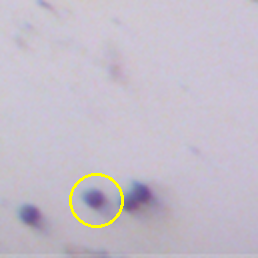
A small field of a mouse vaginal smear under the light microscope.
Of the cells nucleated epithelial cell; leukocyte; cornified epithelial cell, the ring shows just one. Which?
The ring shows a leukocyte.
